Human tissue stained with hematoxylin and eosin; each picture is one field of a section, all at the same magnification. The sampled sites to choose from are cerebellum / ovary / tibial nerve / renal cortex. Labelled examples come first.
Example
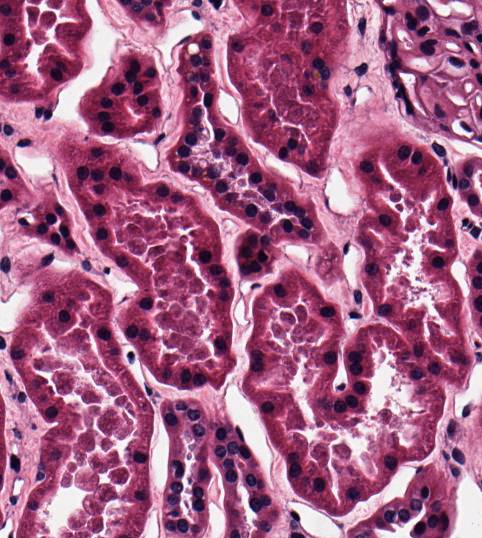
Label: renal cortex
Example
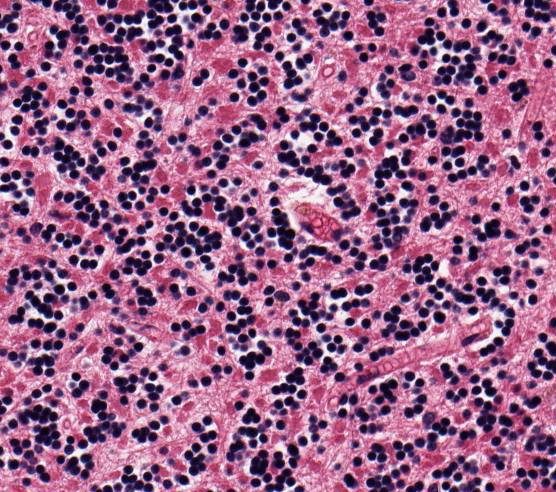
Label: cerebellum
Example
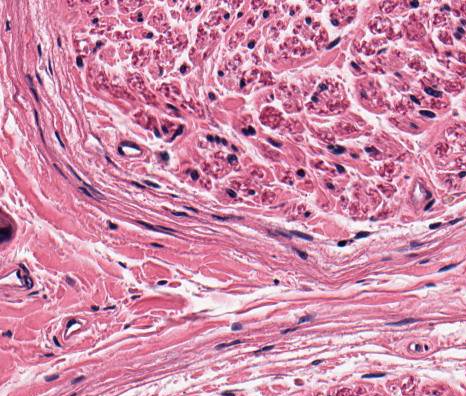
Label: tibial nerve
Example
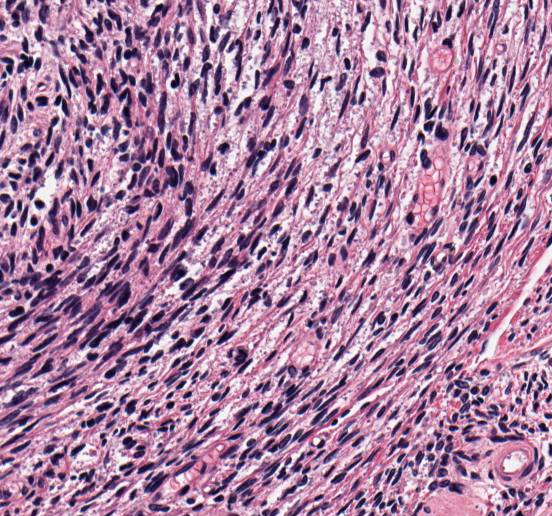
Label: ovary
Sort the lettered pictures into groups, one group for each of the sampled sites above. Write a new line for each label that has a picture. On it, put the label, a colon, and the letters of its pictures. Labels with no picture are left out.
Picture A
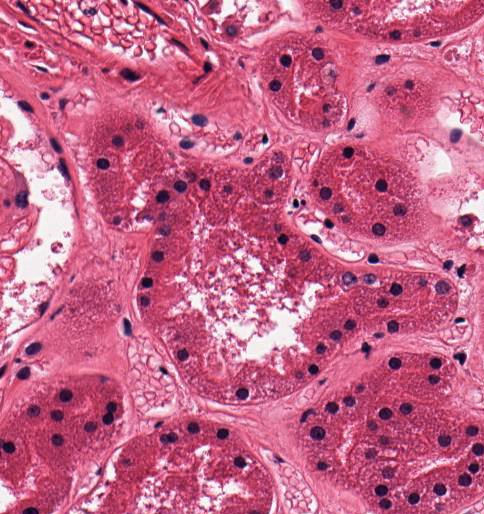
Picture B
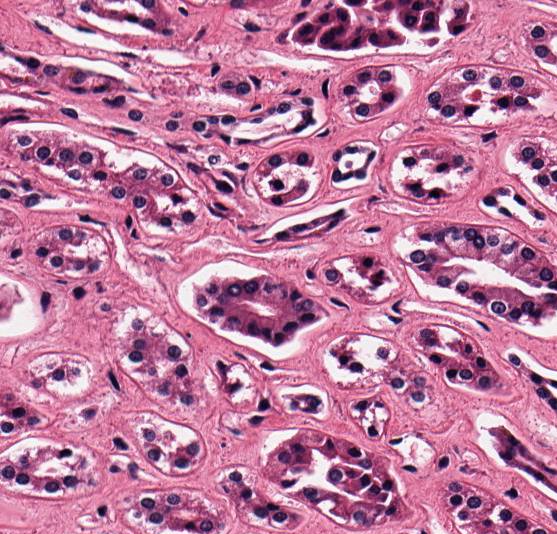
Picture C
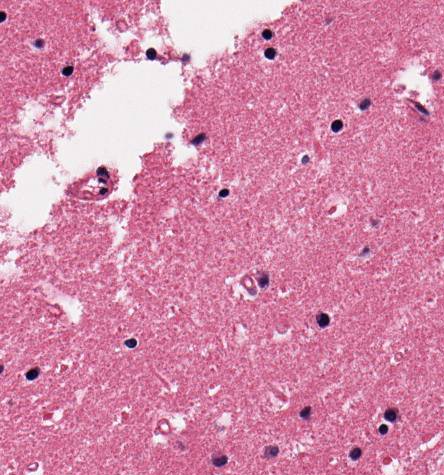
cerebellum: C
renal cortex: A, B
